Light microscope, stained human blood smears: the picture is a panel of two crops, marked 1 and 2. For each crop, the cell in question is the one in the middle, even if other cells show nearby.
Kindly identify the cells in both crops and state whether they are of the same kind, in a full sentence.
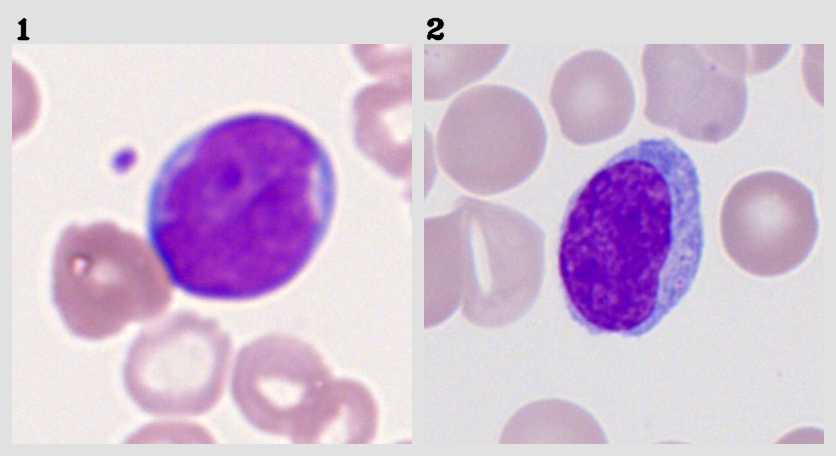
No, crop 1 captures a blast; meanwhile crop 2 captures a lymphocyte.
